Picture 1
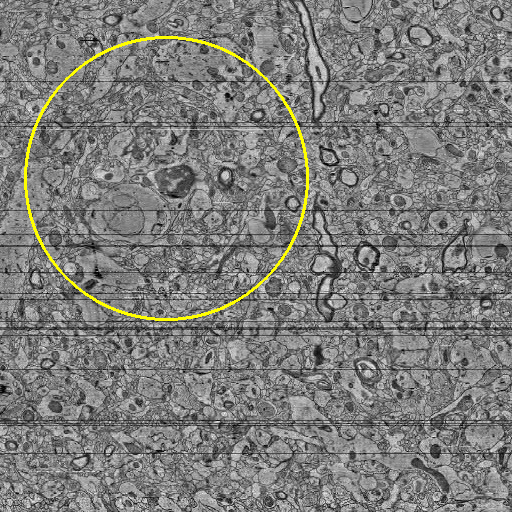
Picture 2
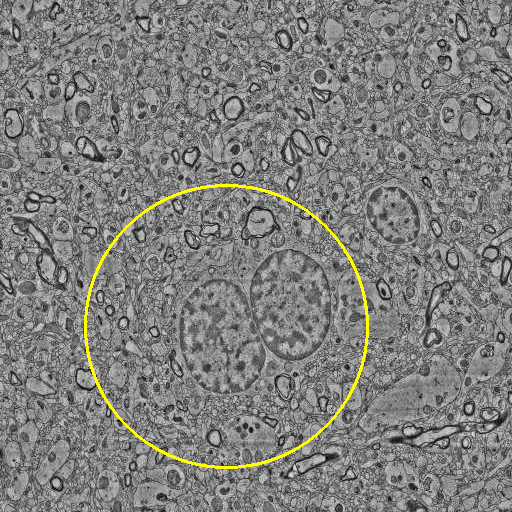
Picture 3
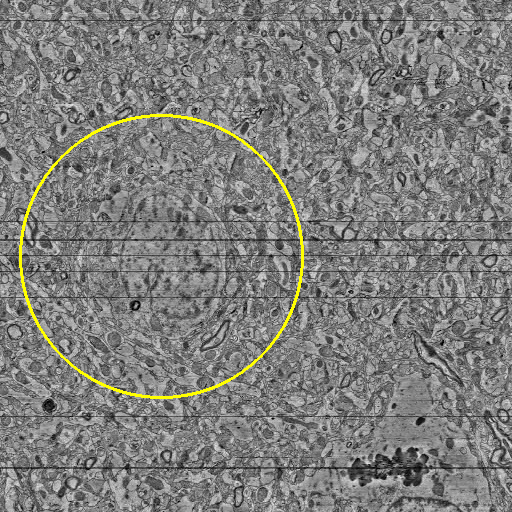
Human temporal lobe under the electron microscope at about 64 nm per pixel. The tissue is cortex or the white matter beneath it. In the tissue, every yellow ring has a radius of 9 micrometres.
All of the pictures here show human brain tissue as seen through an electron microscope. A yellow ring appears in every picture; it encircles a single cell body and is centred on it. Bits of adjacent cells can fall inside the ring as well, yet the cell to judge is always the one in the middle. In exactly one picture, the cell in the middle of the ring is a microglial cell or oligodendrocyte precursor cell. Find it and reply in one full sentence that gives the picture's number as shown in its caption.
Of all the pictures, picture 1 has the right cell at the centre of its ring.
